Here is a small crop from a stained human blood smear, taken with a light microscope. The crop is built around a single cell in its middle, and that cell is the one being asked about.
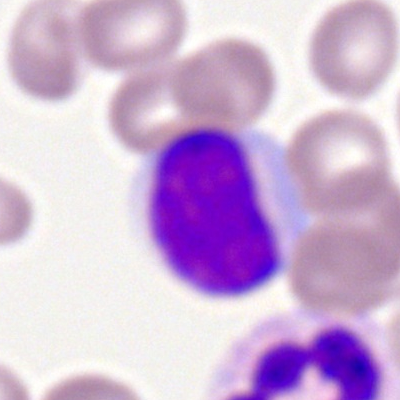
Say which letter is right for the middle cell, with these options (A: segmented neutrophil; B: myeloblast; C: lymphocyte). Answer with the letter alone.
C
